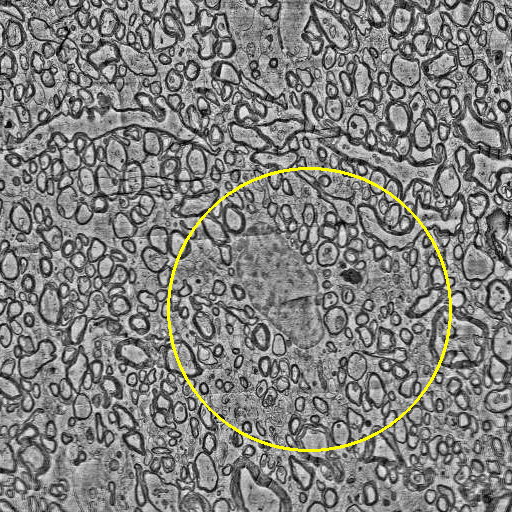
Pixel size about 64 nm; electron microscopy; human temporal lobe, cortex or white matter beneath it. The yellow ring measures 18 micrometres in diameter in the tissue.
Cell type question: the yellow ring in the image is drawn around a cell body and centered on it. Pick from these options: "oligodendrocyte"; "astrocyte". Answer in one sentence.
The ringed cell at the center is an oligodendrocyte.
